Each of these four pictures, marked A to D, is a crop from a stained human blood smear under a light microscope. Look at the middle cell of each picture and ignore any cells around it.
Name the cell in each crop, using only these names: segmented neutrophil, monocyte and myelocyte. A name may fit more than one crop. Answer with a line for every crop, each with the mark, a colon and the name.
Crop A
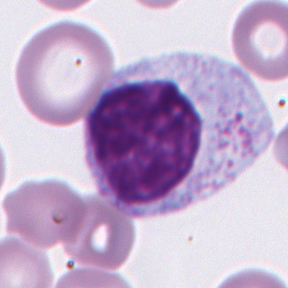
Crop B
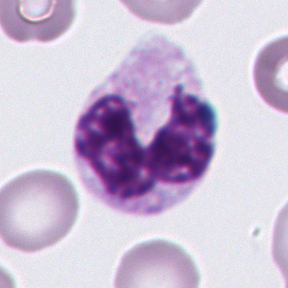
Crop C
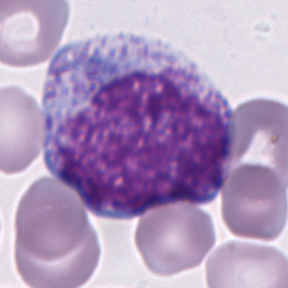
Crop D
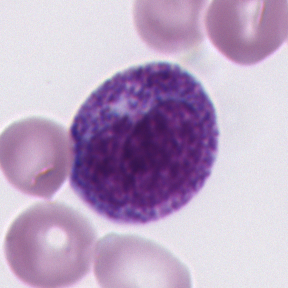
A: myelocyte
B: segmented neutrophil
C: myelocyte
D: myelocyte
